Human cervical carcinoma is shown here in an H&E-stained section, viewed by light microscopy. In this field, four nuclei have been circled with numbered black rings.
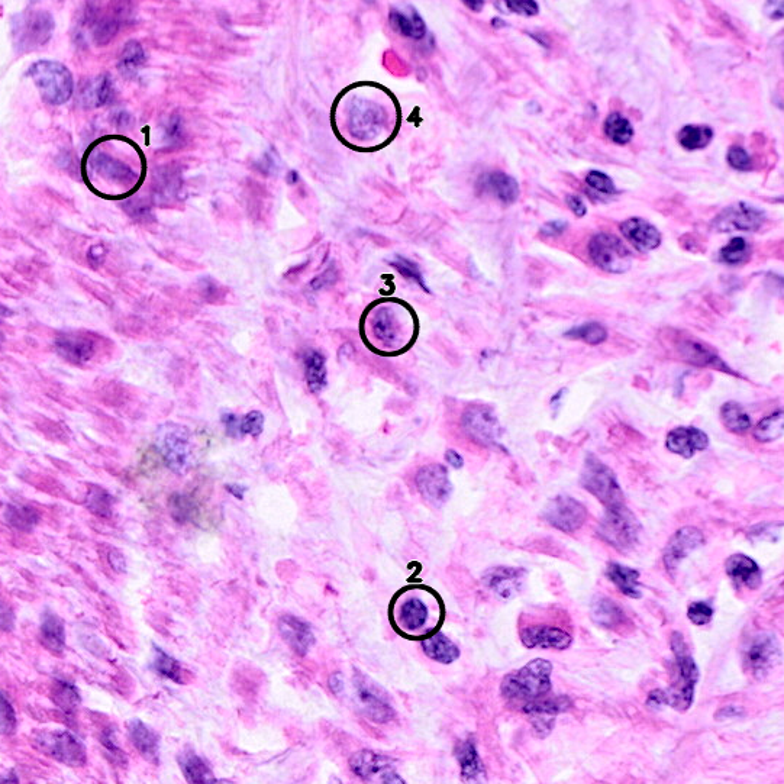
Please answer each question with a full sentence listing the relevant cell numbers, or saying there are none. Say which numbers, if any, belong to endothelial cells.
Only cell 4 should be marked as an endothelial cell.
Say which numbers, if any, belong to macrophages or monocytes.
Cell 3 is a macrophage or monocyte, whereas each of the other numbered cells is not.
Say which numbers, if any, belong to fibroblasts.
Only the nucleus marked 1 is that of a fibroblast.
